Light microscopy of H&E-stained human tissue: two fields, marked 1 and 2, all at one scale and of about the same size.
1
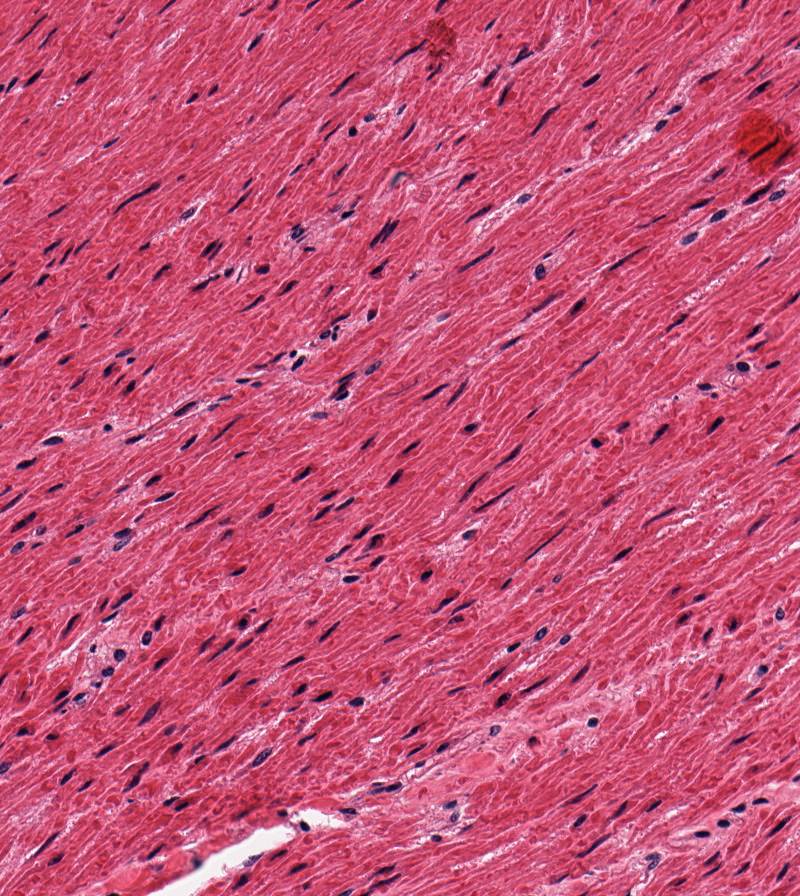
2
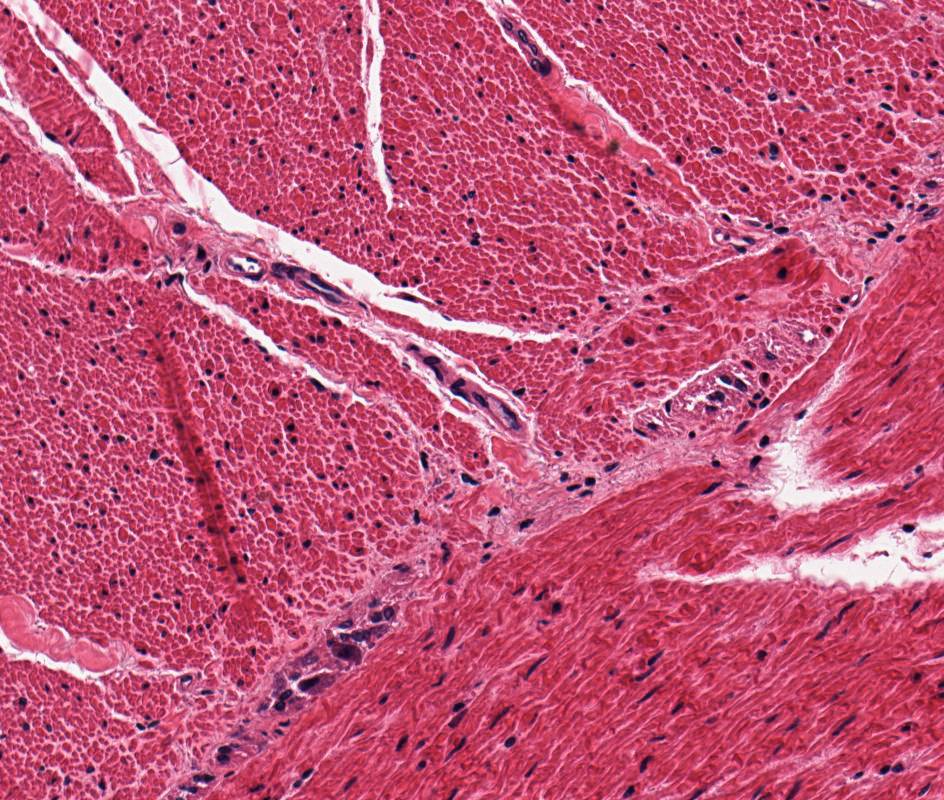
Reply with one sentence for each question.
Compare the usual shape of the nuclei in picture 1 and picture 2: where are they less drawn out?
It is picture 2 whose nuclei are the rounder.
